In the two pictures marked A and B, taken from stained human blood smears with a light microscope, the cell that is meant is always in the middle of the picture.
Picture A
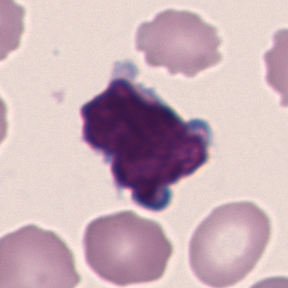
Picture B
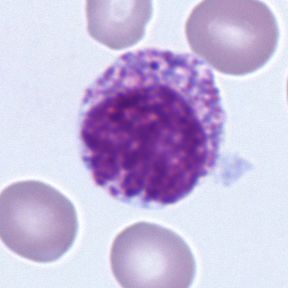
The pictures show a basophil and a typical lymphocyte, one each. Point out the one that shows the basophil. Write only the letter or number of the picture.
B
